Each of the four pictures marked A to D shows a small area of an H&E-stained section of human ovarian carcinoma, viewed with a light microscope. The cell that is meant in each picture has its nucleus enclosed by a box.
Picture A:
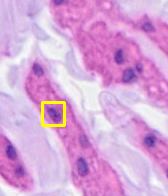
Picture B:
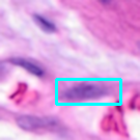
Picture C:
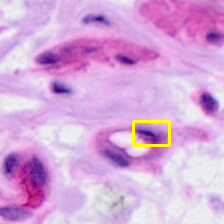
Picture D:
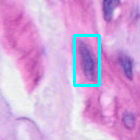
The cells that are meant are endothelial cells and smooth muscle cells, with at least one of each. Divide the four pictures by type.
A: smooth muscle cell
B: endothelial cell
C: endothelial cell
D: smooth muscle cell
